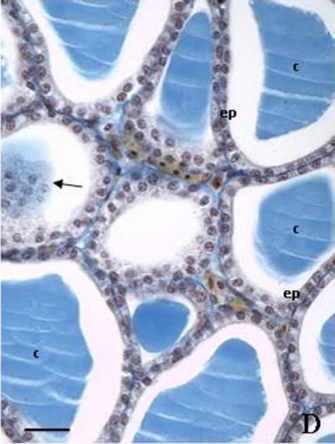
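This is thyroid tissue with many follicles lined by a low follicular epithelium of one cell layer. The epithelial cells are short, with round nuclei closely packed along the follicle wall. Most lumens contain blue-stained colloid, which is pulled away from the epithelium leaving a clear gap. Thin connective tissue with small vessels lies between the follicles.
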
